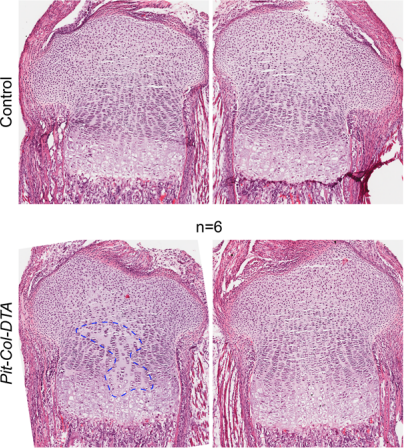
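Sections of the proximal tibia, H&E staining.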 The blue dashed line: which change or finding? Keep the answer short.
acellular cartilage areas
